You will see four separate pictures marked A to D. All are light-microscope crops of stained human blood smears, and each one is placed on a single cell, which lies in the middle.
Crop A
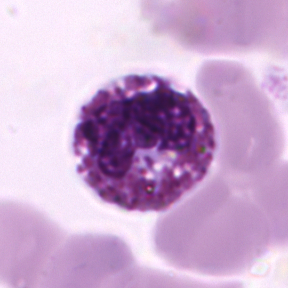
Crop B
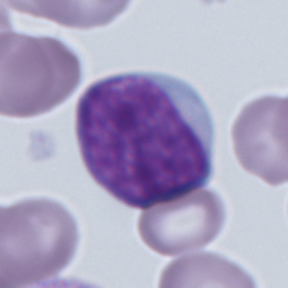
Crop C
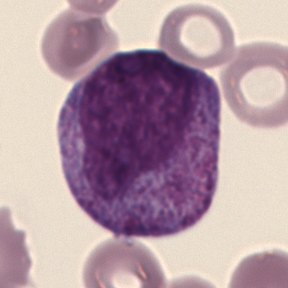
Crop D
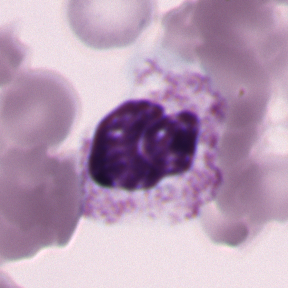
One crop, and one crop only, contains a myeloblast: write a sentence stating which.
The crop marked B is the one in which a myeloblast is shown.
